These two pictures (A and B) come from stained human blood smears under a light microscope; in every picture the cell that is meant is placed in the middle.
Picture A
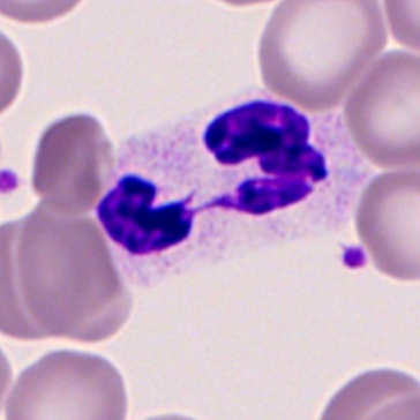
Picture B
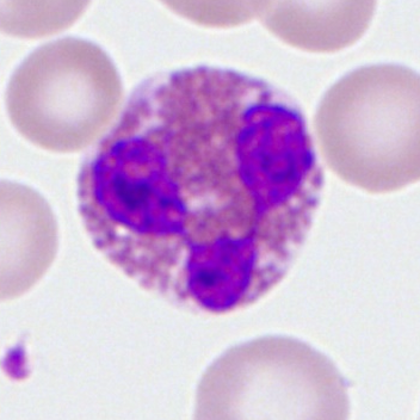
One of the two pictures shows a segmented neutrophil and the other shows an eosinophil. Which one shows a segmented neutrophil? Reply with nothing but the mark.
A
